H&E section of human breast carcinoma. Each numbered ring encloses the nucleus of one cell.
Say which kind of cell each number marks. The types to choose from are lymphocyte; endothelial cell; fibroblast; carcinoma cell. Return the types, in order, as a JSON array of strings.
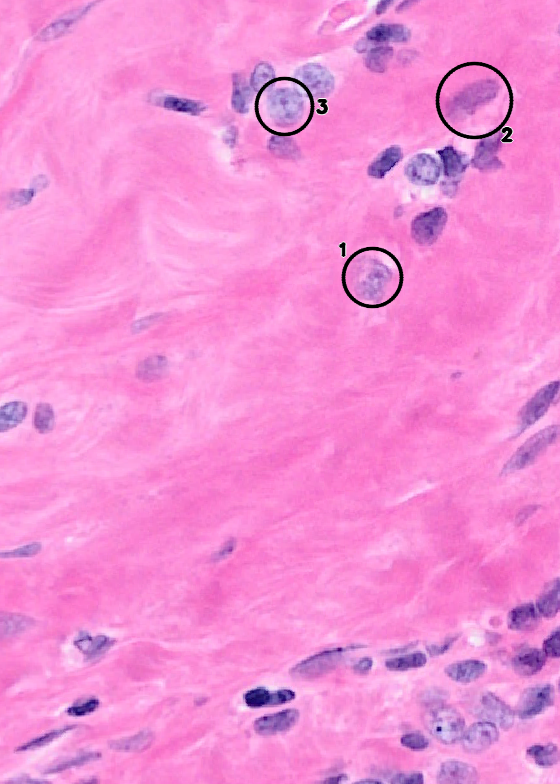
["fibroblast", "fibroblast", "carcinoma cell"]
